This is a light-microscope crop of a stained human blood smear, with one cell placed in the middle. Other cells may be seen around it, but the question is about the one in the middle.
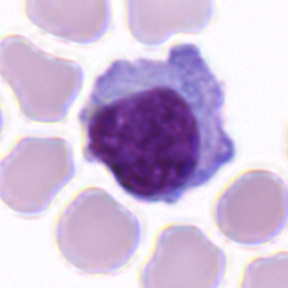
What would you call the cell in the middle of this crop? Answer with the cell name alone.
plasma cell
